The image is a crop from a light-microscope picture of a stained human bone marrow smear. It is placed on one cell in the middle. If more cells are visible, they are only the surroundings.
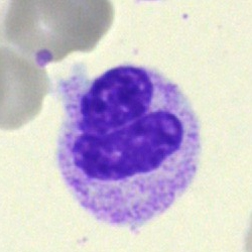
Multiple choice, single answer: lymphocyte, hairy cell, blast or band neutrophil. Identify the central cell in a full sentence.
Whatever else lies nearby, the middle cell is a band neutrophil.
